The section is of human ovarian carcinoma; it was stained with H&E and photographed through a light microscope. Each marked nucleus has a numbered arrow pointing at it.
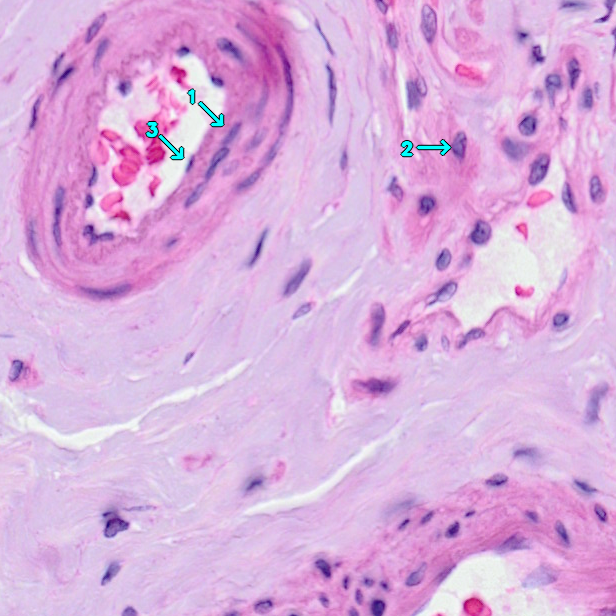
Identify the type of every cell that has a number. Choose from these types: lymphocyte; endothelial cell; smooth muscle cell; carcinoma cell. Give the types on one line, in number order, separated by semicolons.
smooth muscle cell; smooth muscle cell; endothelial cell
